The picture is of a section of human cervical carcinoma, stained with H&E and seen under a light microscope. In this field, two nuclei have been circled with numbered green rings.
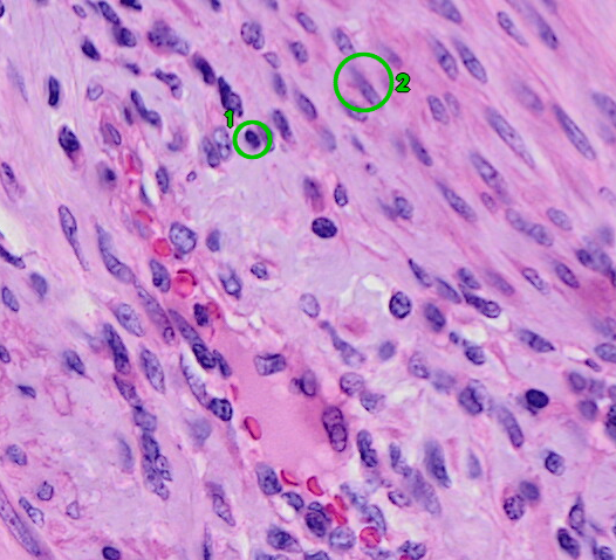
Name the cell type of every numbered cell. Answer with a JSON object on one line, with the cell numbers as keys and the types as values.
{"1": "lymphocyte", "2": "smooth muscle cell"}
